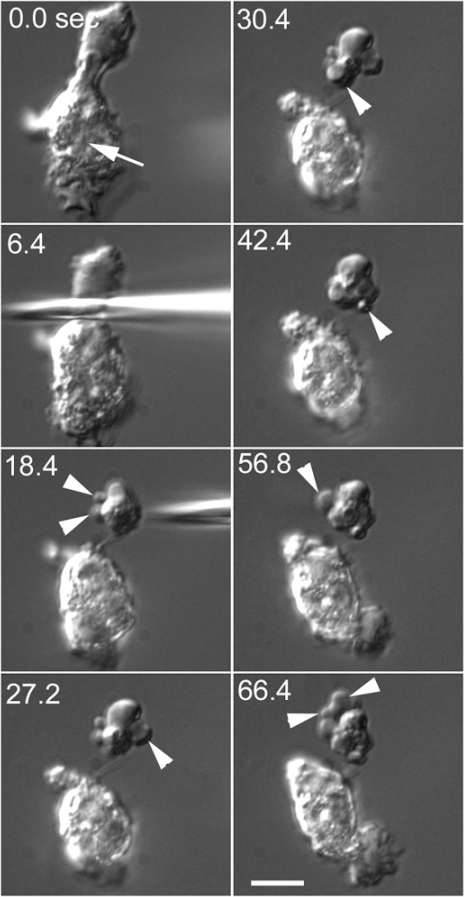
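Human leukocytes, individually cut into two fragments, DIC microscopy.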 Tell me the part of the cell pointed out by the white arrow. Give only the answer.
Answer: Nucleus.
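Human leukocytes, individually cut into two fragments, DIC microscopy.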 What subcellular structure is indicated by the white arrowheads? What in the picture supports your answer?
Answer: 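The arrowheads point to small, smooth, round protrusions. The protrusions bulge from the surface of the small detached fragment. The fragment has a lumpy outline made of several rounded lobes. The answer: blebs.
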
